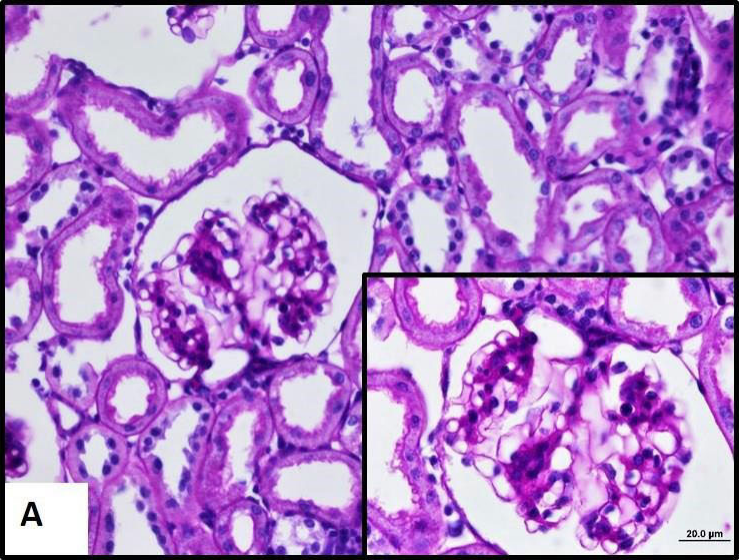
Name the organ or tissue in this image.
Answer: Kidney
